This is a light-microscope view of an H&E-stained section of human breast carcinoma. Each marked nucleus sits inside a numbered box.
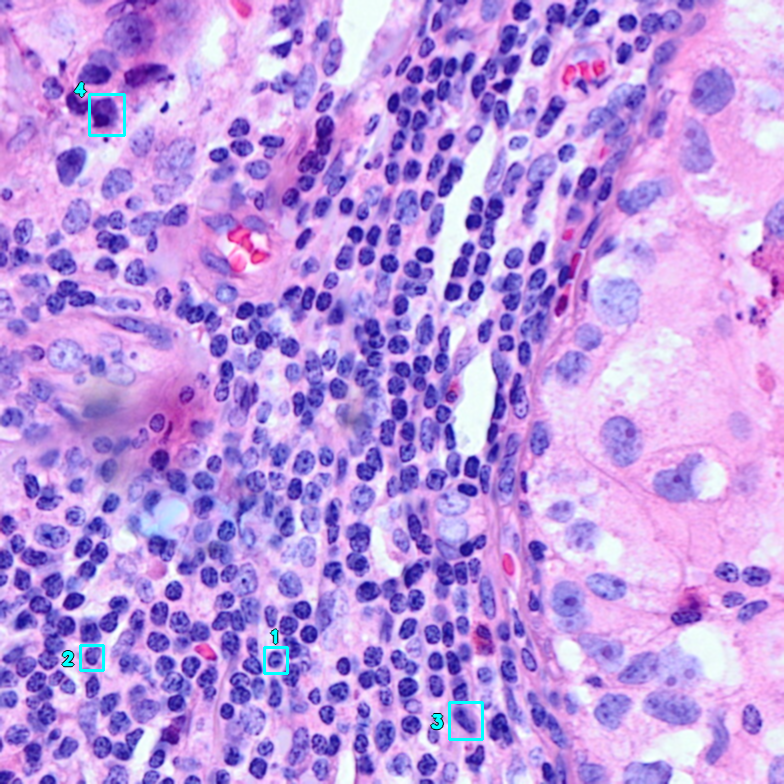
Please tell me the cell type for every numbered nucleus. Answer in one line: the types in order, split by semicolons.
lymphocyte; lymphocyte; lymphocyte; carcinoma cell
